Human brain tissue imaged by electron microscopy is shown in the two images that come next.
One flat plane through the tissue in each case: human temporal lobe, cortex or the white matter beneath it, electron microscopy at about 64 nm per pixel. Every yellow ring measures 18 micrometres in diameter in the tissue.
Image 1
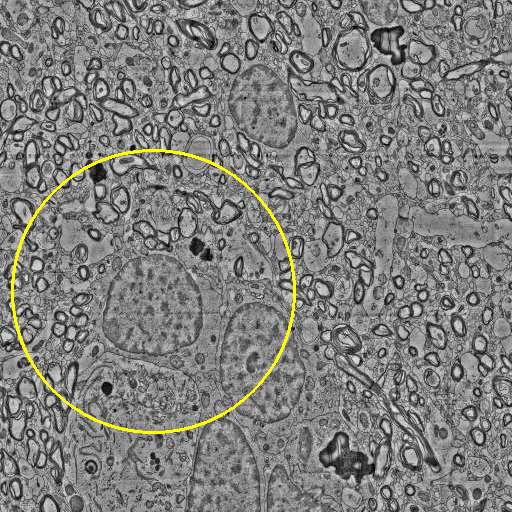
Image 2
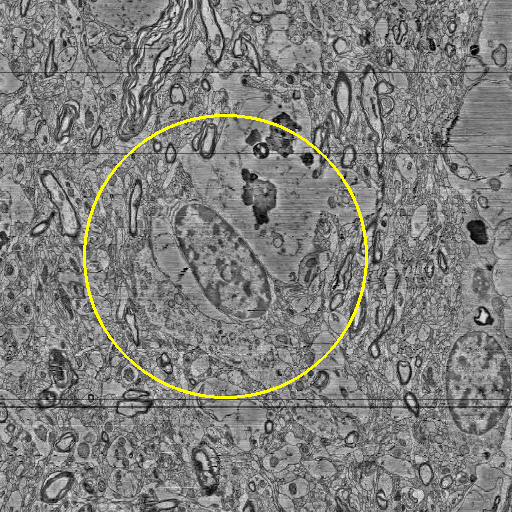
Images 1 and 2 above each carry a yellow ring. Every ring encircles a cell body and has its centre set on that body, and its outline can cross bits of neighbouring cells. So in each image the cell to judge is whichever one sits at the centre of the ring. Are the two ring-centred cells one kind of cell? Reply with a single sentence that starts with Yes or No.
No, in Image 1 and Image 2 the cells at the centres of their rings fall into two types.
